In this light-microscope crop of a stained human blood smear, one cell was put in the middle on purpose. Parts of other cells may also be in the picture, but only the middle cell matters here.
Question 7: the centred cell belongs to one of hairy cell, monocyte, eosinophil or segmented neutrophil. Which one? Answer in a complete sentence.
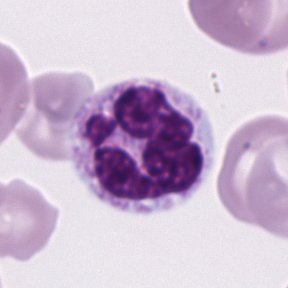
In this smear crop, the middle cell is a segmented neutrophil.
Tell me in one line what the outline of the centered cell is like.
Worth noting that the cell border is smooth and lacks projections.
